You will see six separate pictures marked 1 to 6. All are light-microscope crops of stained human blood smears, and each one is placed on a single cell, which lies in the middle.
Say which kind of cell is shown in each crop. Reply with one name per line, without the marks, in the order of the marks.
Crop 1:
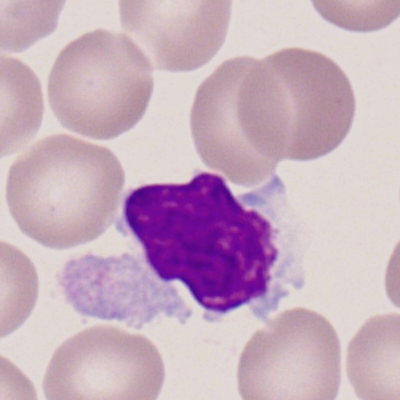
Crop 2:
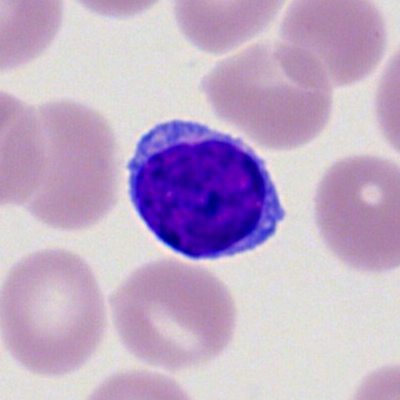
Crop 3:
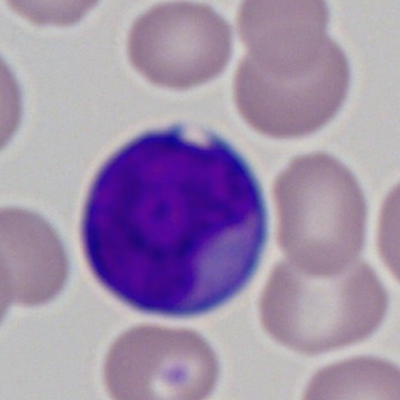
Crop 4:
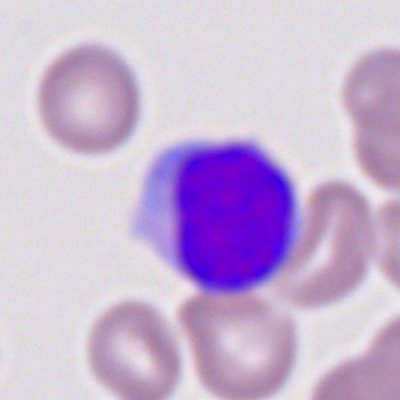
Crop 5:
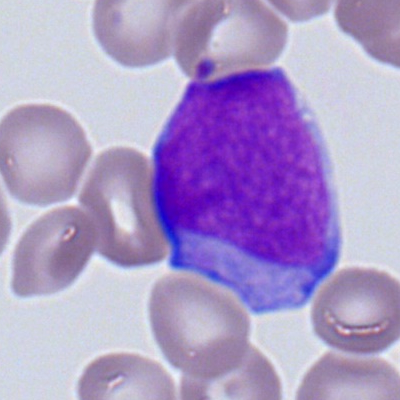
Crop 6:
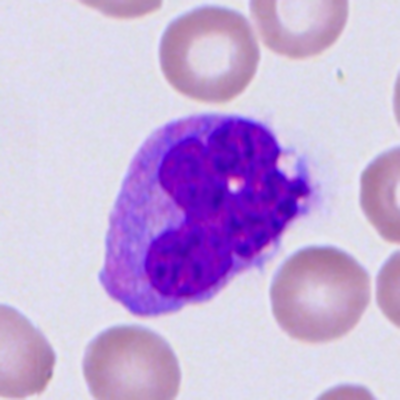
lymphocyte
lymphocyte
myeloblast
lymphocyte
myeloblast
monocyte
